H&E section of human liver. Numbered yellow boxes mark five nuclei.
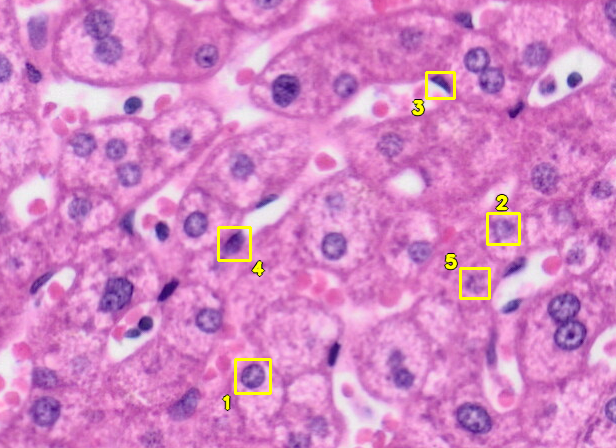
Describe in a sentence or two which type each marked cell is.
Cell 1 is a hepatocyte, cell 2 is a hepatocyte, cell 3 is an endothelial cell, cell 4 is a fibroblast or stellate cell and cell 5 is a hepatocyte.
